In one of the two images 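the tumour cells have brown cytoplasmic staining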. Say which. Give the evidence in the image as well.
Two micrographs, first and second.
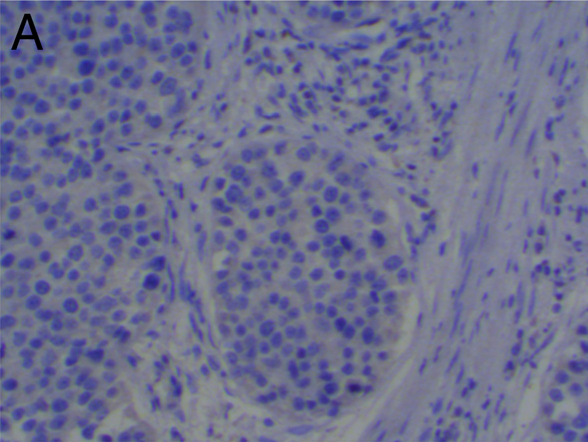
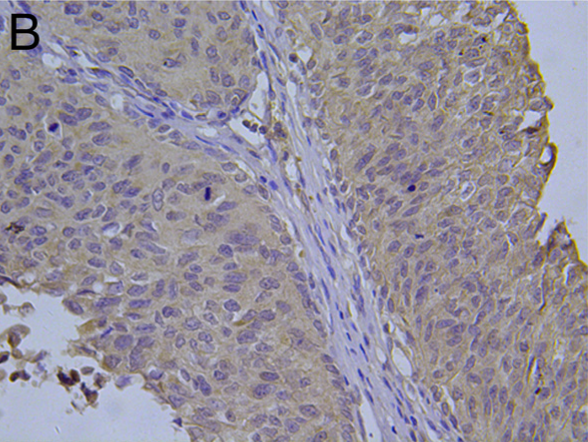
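Second image: tumour cell sheets have diffuse brown cytoplasm around blue nuclei. The answer: the second image.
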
